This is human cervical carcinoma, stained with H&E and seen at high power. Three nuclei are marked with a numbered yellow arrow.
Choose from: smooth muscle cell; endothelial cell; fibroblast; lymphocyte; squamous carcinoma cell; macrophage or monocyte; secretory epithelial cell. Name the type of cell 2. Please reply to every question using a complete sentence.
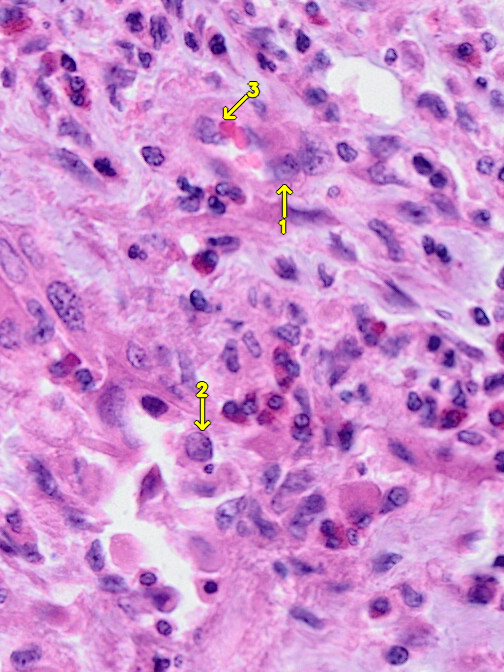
In the marked set, the cell given number 2 is a macrophage or monocyte.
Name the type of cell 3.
The nucleus with number 3 is that of an endothelial cell.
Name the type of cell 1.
Cell 1 is classified as an endothelial cell.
